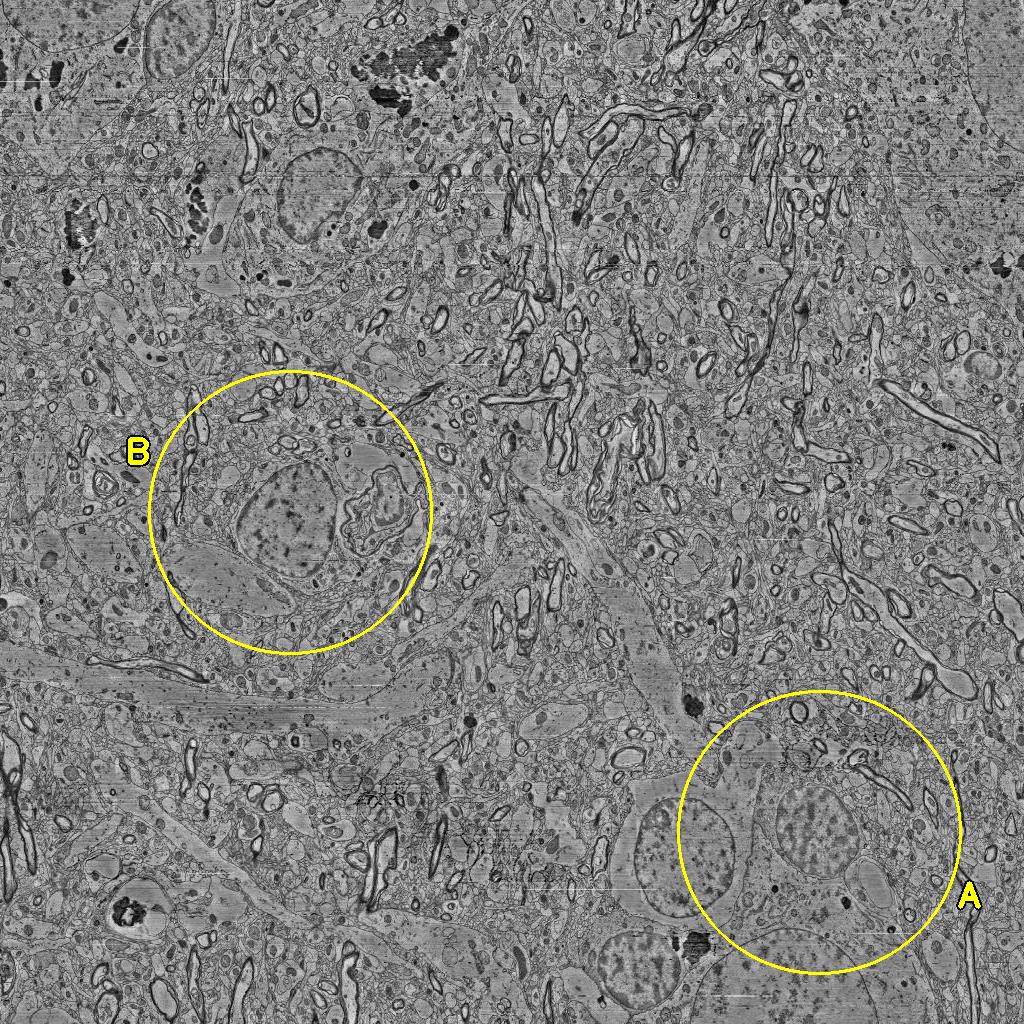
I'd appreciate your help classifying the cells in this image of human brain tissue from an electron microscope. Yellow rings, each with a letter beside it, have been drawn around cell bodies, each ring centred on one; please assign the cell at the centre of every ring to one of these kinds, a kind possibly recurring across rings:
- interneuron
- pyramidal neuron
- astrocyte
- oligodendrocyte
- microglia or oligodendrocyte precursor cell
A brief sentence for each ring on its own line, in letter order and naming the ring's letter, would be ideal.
In ring A, the central cell is an oligodendrocyte.
In ring B, the central cell is a microglial cell or oligodendrocyte precursor cell.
